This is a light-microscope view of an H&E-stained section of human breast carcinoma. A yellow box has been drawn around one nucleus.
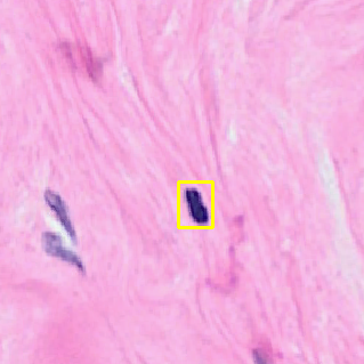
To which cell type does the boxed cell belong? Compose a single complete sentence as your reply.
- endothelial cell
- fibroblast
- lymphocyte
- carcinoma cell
As for its identity, the boxed cell is a lymphocyte.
